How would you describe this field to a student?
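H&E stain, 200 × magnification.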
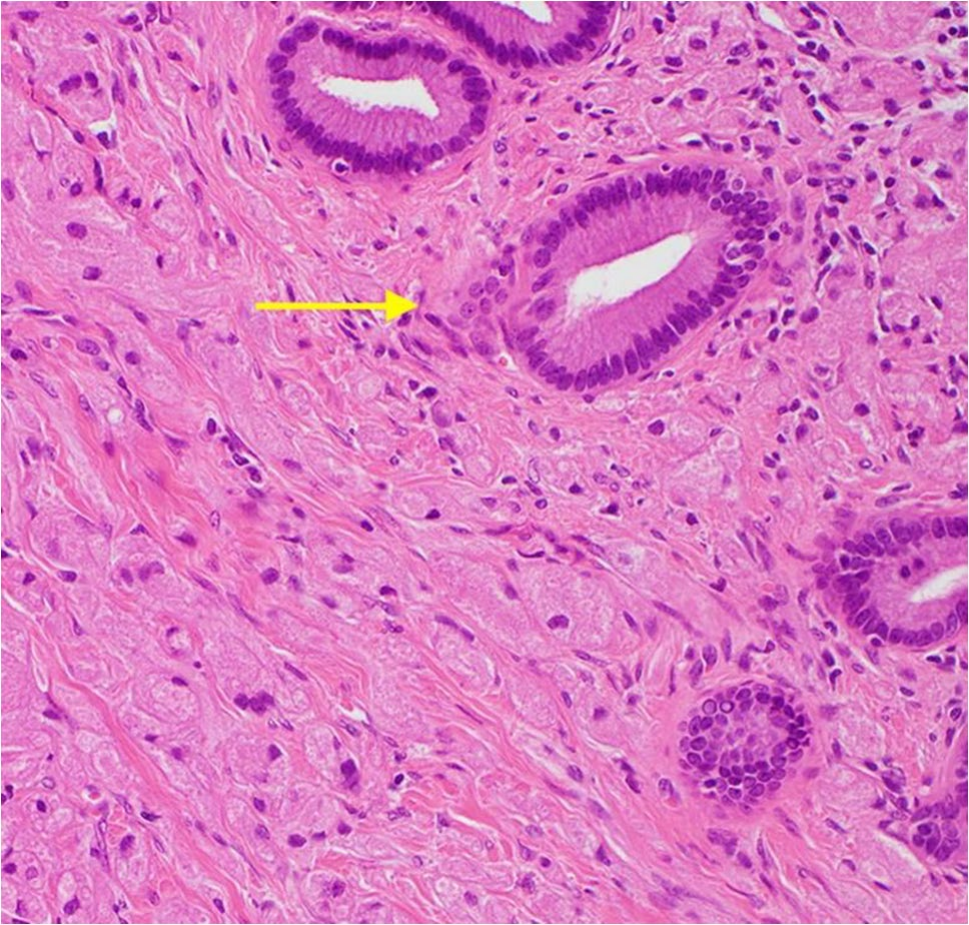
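This field shows tumour cells with abundant granular eosinophilic cytoplasm infiltrating the stroma around benign ducts. The tumour cells are large and polygonal to somewhat elongated. Their cytoplasm is plentiful, pale pink and finely granular. Their nuclei are small, round to oval and fairly bland. The cells lie in sheets, nests and cords separated by pink collagen strands, and they run diagonally across the field. Several glands sit at the upper right and lower right. These glands have open lumens and are lined by a single row of tall columnar cells with basal dark nuclei. A few scattered small dark stromal and inflammatory nuclei are also present.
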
